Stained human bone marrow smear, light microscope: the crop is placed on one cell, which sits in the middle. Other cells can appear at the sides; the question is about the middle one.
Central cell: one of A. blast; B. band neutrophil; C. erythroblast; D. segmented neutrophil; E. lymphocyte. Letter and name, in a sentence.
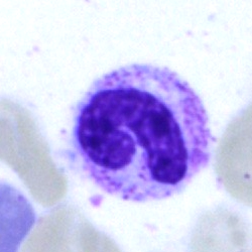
Option B is the right choice, the central cell being a band neutrophil.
